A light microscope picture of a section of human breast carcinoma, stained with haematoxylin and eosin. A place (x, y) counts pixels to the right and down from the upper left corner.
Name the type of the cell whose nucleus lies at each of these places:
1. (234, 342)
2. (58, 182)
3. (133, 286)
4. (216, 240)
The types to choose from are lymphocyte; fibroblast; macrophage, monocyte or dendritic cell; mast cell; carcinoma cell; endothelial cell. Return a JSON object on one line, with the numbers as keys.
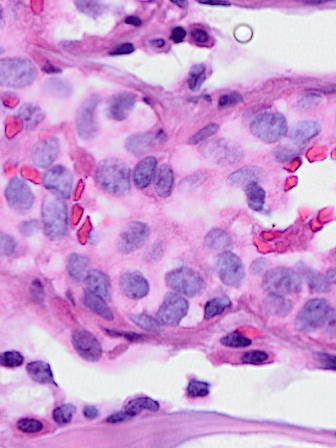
{"1": "endothelial cell", "2": "carcinoma cell", "3": "carcinoma cell", "4": "carcinoma cell"}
